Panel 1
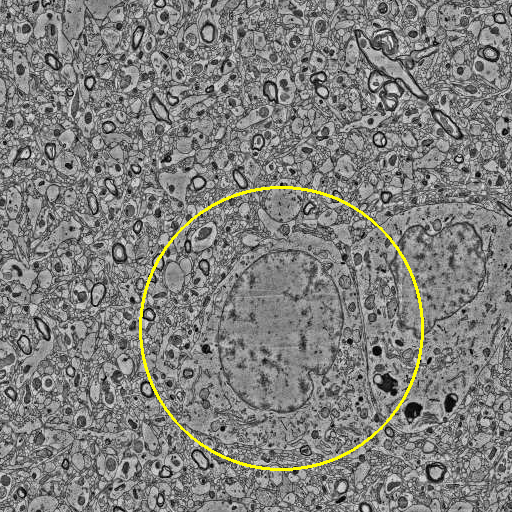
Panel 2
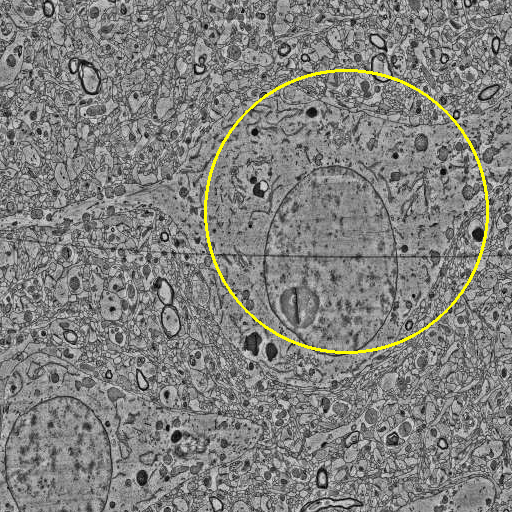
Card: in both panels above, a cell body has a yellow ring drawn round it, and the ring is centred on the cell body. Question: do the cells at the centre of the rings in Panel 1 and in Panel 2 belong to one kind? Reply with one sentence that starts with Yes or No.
No, the cells centred in the rings of Panel 1 and Panel 2 are two kinds of cell.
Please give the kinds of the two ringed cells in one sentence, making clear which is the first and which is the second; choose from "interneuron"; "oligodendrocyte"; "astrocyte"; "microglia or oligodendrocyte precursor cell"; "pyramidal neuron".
In the second picture the ringed cell is a pyramidal neuron; in the first it is an interneuron.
